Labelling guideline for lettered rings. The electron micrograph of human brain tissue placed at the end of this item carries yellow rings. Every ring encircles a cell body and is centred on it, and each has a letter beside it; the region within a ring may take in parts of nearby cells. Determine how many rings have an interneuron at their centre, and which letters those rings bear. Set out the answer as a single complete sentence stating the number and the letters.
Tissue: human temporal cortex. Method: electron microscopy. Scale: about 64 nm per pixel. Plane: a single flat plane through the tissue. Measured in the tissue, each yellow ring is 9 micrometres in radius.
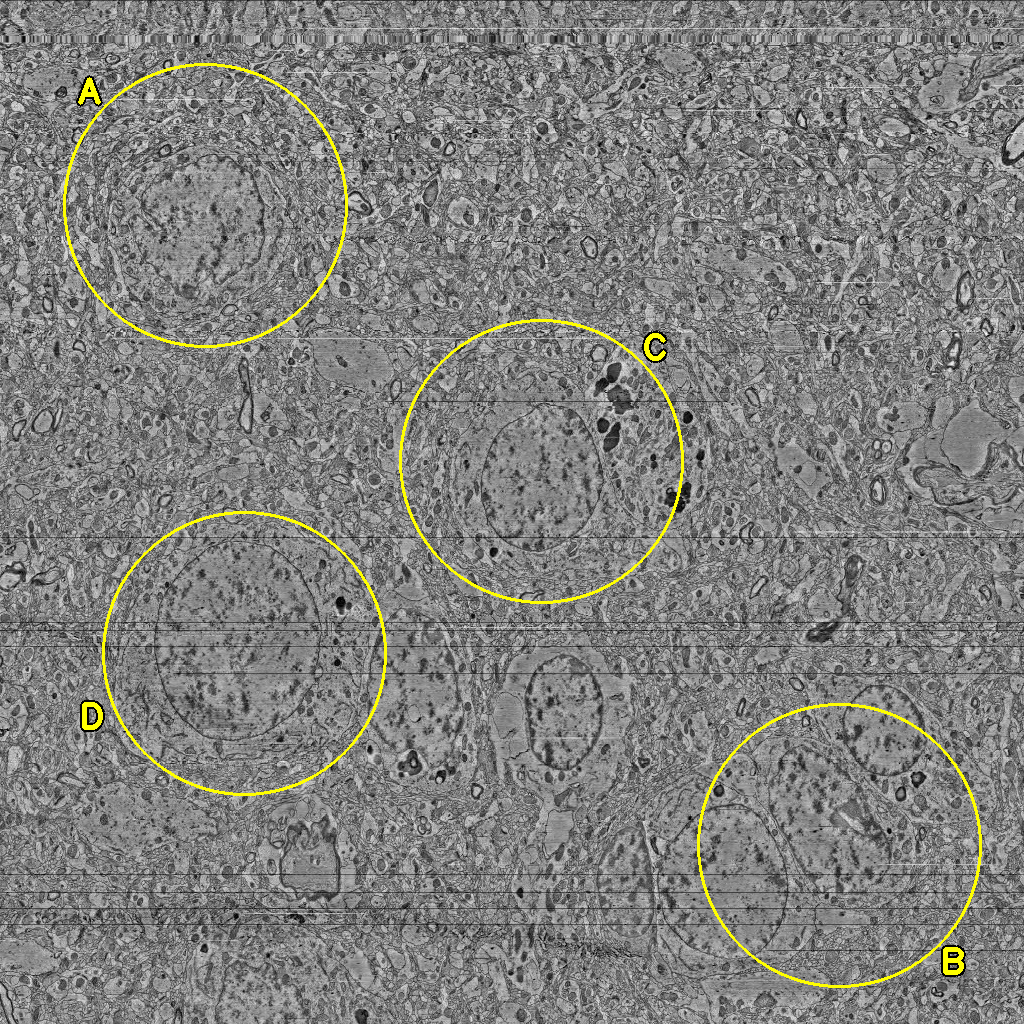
Altogether, two rings are centred on an interneuron apiece, namely the ones carrying the letters A and B.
